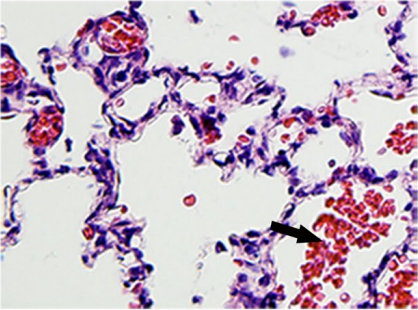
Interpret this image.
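This is lung tissue with thin alveolar walls studded with purple nuclei surrounding pale air spaces. Within several air spaces lie dense clusters of small, round, bright red cells without nuclei, the largest cluster filling much of one space at the lower right. Scattered single red cells also float free in the larger air spaces. The septa look irregular and in places thickened and disrupted compared with a delicate network. These red cells are red blood cells that have escaped into the pulmonary alveoli.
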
